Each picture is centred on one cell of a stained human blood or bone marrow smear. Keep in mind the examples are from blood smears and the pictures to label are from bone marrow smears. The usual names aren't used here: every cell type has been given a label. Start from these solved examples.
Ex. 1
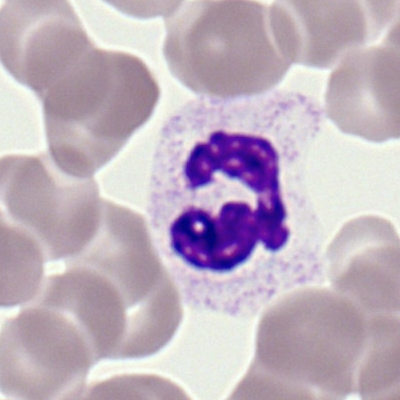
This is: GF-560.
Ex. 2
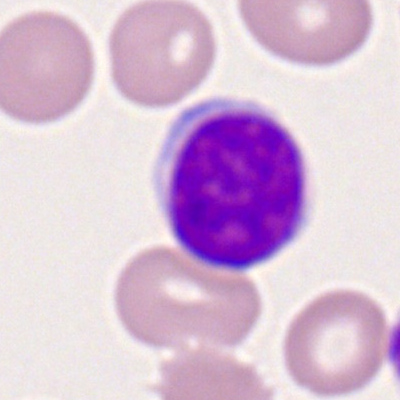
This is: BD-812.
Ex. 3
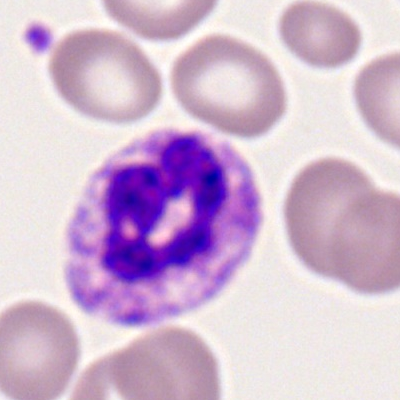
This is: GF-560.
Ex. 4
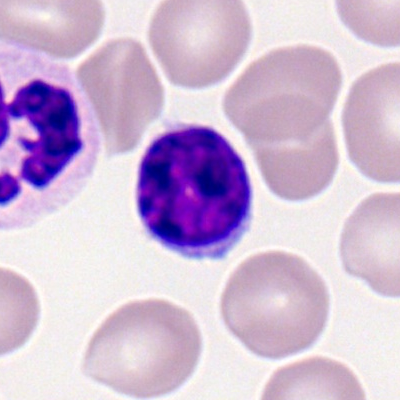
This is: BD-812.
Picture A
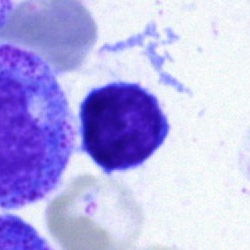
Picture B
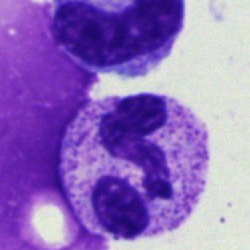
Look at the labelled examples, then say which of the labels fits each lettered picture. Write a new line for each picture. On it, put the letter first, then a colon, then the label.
A: BD-812.
B: GF-560.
